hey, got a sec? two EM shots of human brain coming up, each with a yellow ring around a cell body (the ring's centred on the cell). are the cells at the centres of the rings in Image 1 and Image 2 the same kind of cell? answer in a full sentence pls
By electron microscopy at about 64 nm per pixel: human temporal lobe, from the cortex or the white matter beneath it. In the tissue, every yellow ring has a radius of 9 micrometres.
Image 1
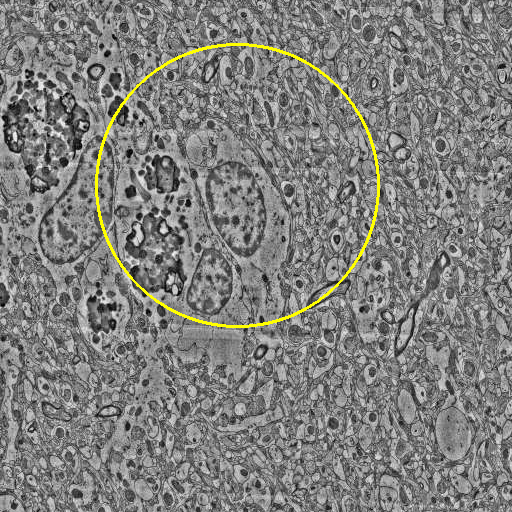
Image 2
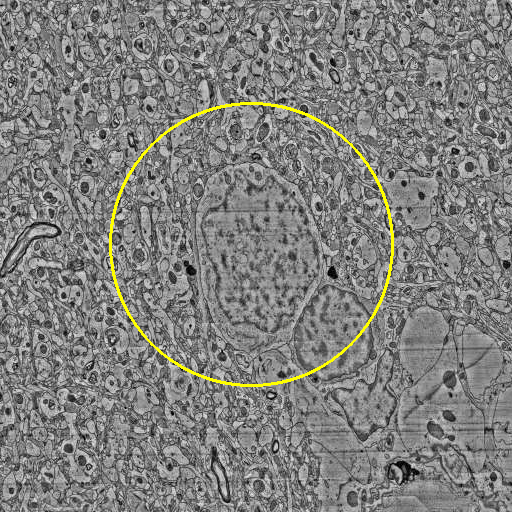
No, they are two kinds of cell.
